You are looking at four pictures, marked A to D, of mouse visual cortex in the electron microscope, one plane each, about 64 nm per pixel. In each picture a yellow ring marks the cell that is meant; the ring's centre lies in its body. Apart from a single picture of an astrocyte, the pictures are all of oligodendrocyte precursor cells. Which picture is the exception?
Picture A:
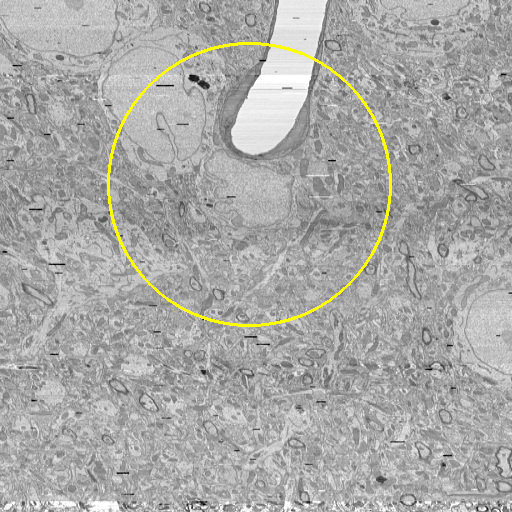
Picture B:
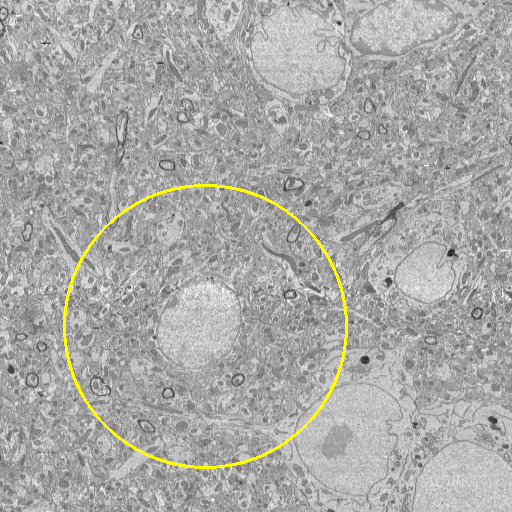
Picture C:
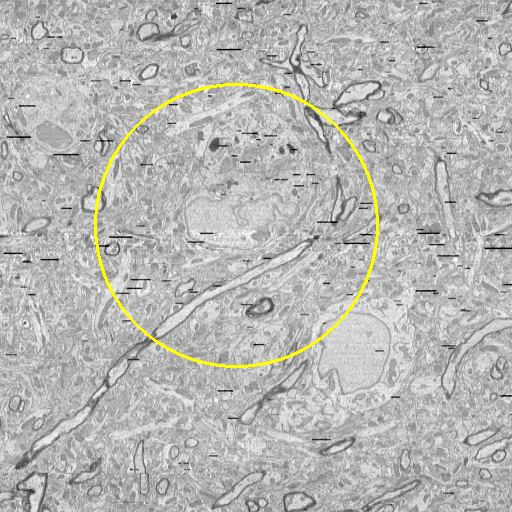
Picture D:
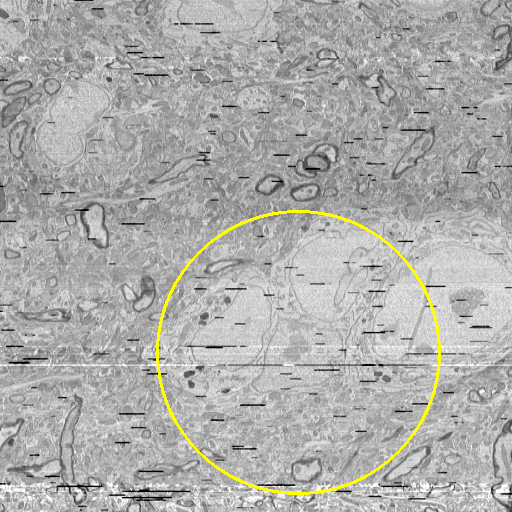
Picture B shows the astrocyte.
